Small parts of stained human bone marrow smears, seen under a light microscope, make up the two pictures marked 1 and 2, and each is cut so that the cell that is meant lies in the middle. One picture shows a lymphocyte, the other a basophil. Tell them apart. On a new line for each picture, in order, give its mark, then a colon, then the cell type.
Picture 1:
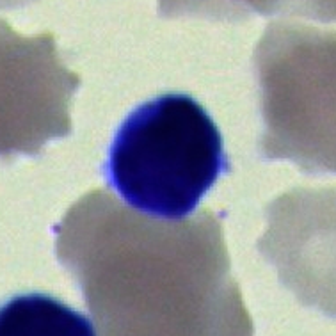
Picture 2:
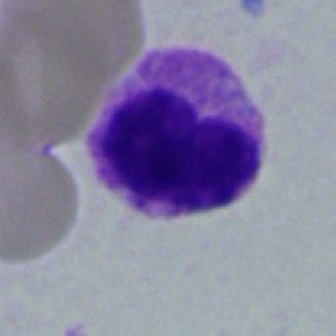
1: lymphocyte
2: basophil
